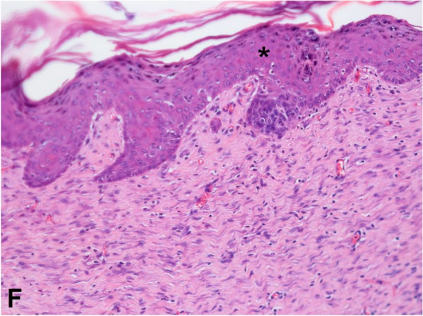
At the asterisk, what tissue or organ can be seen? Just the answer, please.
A: Epithelial tissue.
